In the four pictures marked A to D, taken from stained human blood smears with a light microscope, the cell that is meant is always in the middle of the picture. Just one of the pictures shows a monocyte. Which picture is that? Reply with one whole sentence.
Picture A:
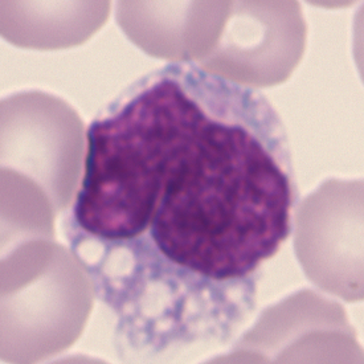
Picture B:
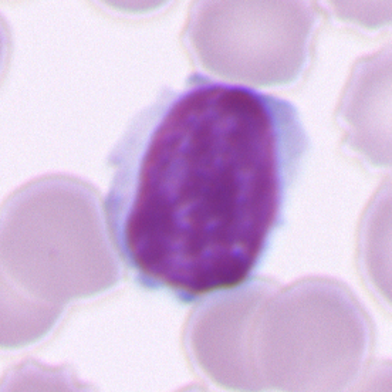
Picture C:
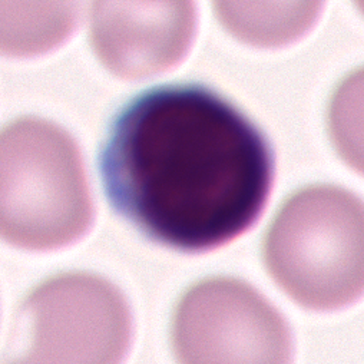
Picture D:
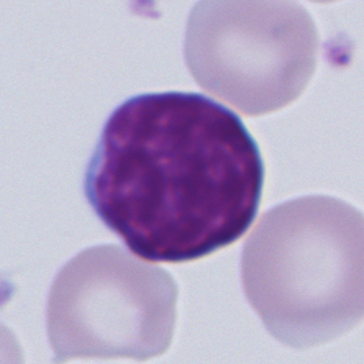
It is picture A that shows the monocyte.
